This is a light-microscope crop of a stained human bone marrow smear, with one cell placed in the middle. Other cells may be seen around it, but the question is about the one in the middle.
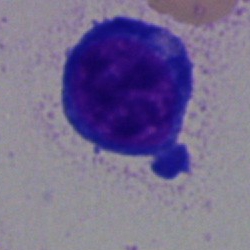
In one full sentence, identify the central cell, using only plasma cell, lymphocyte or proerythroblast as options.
The centered cell in this crop is a proerythroblast.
